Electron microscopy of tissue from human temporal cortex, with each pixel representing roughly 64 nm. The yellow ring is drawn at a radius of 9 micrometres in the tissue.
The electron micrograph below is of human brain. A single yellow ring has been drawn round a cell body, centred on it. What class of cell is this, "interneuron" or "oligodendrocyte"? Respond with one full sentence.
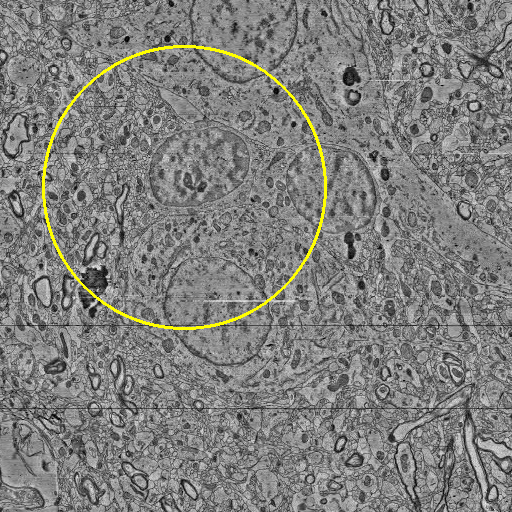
In the micrograph, the cell centred inside the yellow ring is an oligodendrocyte.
